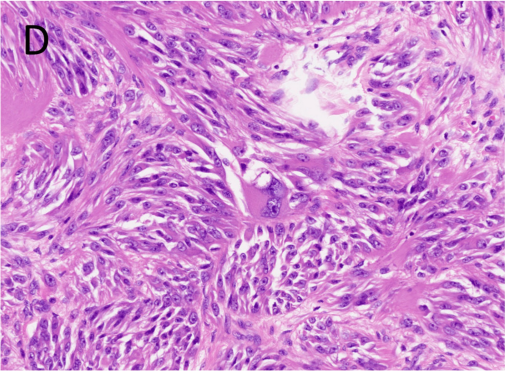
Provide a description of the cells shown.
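At higher power the tumor cells are spindle to epithelioid, with abundant pale pink cytoplasm and round or ovoid nuclei. The cells lie in intersecting bundles and small nests separated by thin pink fibrous strands. Near the centre a clear space holds loose pale material, and nearby a large cell carries several nuclei clustered together, a multinucleated form. Nuclei vary somewhat in size and shape, some being plump and vesicular. Cell borders are indistinct, the cytoplasm blending between neighbouring cells.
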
